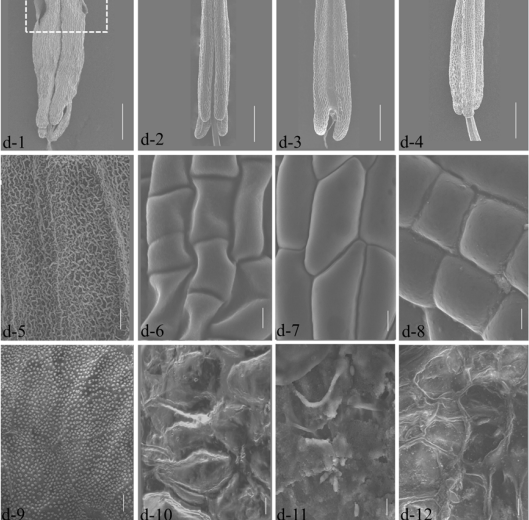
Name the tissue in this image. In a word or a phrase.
Anther.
